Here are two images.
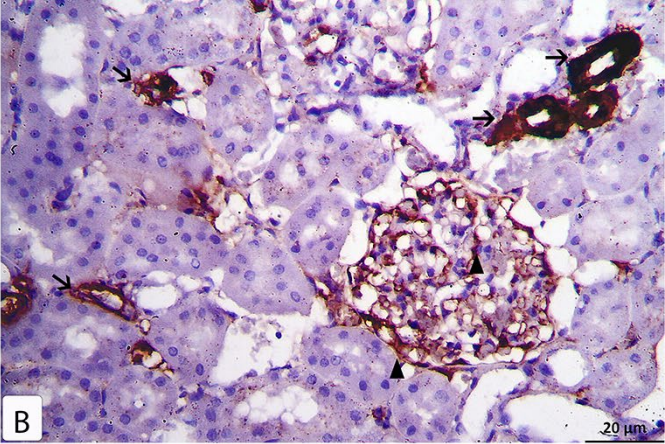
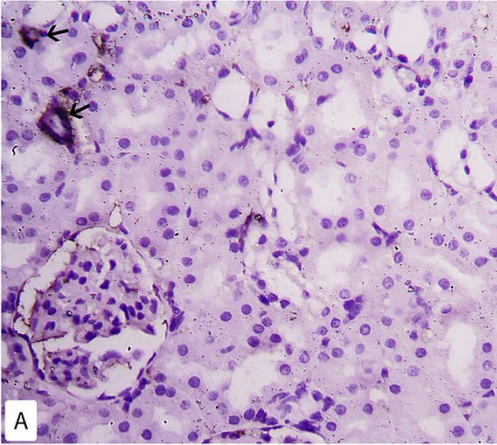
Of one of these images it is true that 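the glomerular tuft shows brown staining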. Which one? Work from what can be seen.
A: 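First image: the glomerular tuft is outlined by abundant brown staining. The answer: the first image.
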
